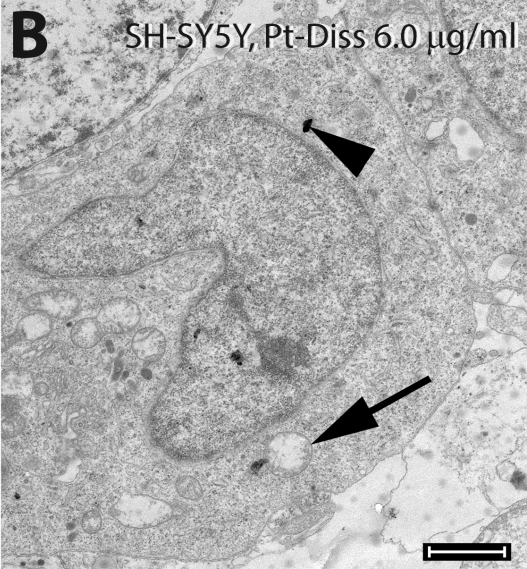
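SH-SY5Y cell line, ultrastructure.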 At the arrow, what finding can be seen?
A: Mitochondrial swelling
